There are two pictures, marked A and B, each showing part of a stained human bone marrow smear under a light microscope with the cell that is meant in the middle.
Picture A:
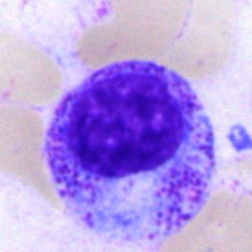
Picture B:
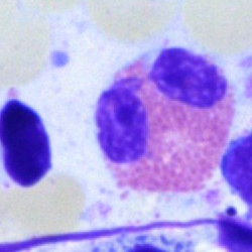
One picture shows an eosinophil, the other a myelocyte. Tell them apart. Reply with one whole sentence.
Picture A is of a myelocyte, and picture B is of an eosinophil.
